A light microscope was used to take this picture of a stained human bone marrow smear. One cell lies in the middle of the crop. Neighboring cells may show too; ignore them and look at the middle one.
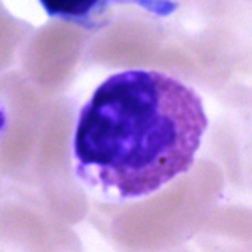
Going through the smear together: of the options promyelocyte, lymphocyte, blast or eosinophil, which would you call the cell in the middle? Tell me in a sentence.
The cell at the central position in this crop is an eosinophil.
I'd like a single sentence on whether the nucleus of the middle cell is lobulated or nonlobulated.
What stands out is a nucleus forming one compact round, oval or kidney-shaped mass.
